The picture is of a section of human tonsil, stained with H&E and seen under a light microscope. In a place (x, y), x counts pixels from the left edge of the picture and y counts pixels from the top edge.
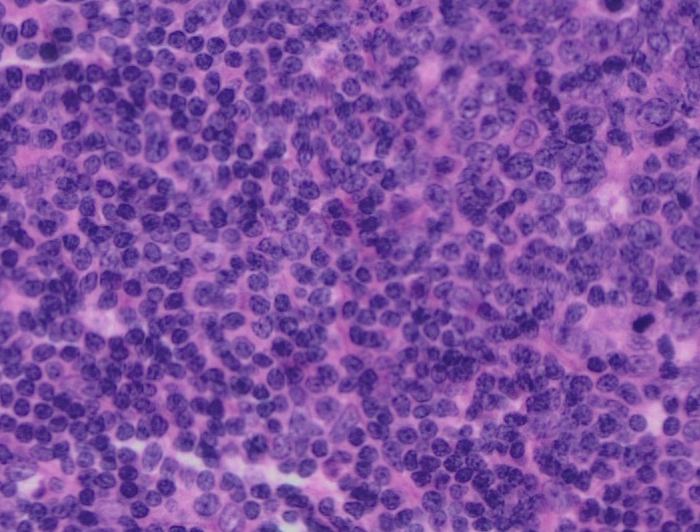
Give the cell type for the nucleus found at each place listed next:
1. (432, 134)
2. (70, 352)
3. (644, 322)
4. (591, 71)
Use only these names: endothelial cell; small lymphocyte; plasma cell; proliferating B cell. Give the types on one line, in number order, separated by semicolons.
proliferating B cell; small lymphocyte; proliferating B cell; proliferating B cell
